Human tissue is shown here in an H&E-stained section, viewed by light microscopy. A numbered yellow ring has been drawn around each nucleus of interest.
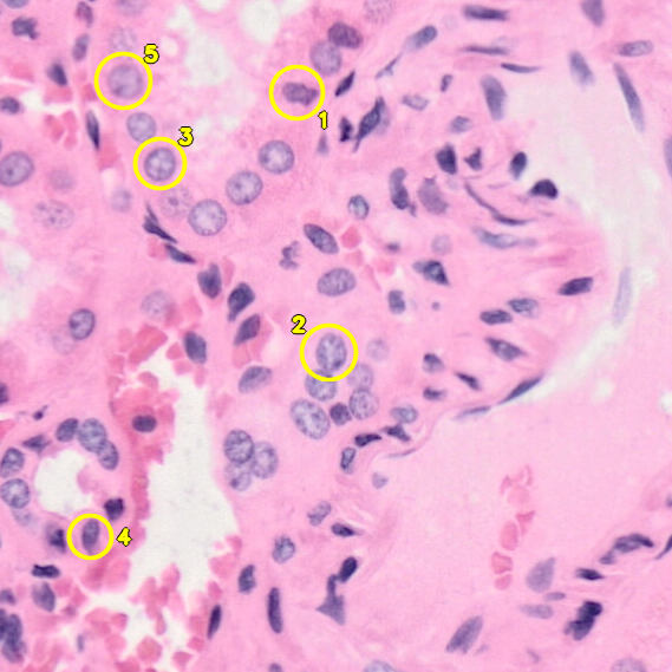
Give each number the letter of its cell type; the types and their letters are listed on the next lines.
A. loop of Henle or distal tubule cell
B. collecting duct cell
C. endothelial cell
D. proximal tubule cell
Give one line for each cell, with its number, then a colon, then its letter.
1: D
2: B
3: D
4: B
5: D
